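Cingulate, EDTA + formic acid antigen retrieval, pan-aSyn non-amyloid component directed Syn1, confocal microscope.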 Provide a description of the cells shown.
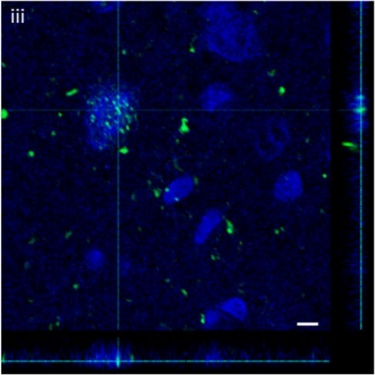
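A field of cortex with several rounded and oval nuclei in blue against a dim bluish background. At upper left one rounded nucleus carries a dense cluster of fine green puncta spread across its face, and the crossed lines run through it; the side strips of orthogonal sections show green within that level. Elsewhere small elongated and dotted green profiles lie scattered between the nuclei, outside them, while the other nuclei show little or no green.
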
